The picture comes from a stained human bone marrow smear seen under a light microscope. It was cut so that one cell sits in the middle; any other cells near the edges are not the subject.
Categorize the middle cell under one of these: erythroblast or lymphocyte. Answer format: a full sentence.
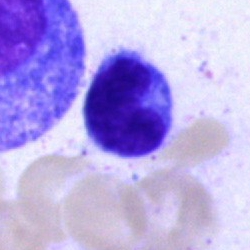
The identification for the central cell is a lymphocyte.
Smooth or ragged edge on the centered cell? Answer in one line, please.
In short, the margin is smooth with no projections at all.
